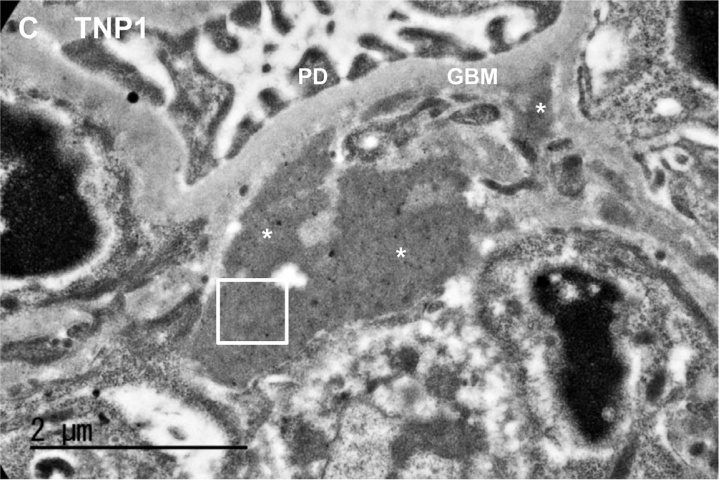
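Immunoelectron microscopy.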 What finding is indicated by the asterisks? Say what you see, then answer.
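The asterisks sit on a large, finely granular area darker than the basement membrane. The area lies beneath the basement membrane on the side opposite the foot processes.
Answer: electron-dense deposit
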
